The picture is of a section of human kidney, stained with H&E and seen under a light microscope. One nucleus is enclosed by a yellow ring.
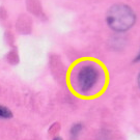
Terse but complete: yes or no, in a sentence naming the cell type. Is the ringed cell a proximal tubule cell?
Yes, the statement that the ringed cell is a proximal tubule cell is correct.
